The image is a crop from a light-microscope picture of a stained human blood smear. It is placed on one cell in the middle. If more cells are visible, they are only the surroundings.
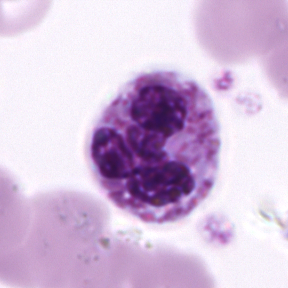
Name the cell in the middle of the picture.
eosinophil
